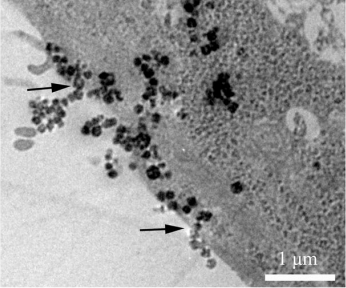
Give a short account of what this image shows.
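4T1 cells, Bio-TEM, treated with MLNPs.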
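This electron micrograph shows the edge of a cultured cell where its plasma membrane meets the extracellular space. Numerous small, round, electron-dense particles gather in clusters along the cell surface, some lying at or within the membrane itself. The cytoplasm beneath the membrane has a fine granular texture. In the pale extracellular space to the left lie small round and elongated profiles of cell surface projections.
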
